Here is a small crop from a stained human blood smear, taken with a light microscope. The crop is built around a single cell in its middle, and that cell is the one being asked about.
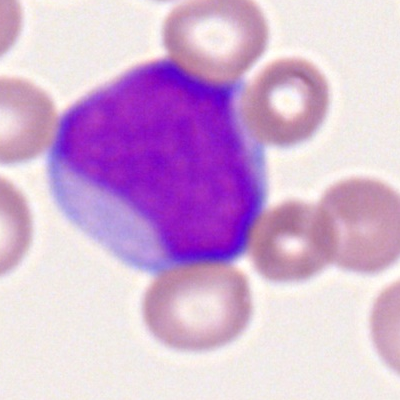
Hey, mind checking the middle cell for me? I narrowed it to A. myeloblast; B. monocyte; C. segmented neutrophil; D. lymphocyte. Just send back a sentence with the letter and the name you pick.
The right choice is option A: the cell in the middle is a myeloblast.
